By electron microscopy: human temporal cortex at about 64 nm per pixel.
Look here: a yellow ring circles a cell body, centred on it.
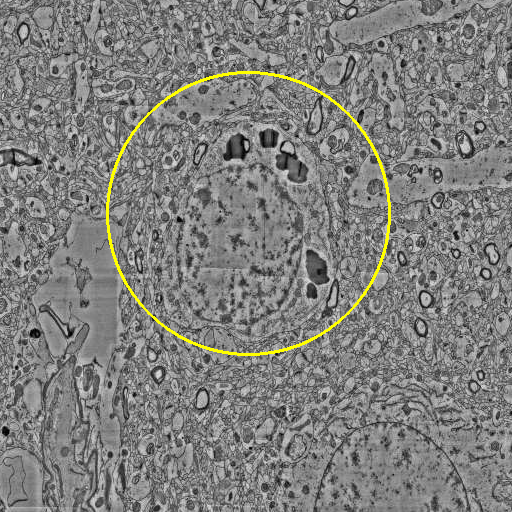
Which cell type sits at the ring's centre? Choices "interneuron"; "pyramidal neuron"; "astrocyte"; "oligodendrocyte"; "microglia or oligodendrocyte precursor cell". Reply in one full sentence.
The cell at the centre of the yellow ring in the picture is an interneuron.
